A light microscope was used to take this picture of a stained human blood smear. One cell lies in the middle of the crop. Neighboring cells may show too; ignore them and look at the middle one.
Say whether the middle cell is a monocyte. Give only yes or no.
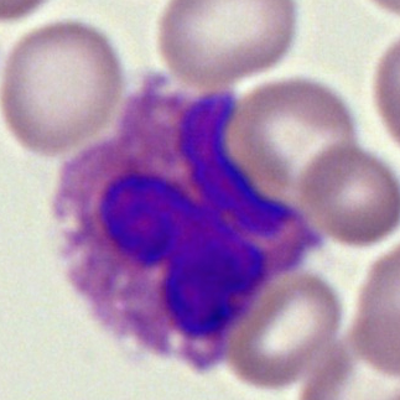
no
